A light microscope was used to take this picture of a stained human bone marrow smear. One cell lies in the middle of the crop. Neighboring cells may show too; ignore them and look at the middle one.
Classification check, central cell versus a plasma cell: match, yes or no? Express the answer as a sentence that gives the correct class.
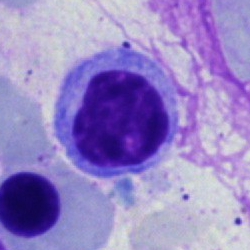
No, the label for the central cell is a lymphocyte, not a plasma cell.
